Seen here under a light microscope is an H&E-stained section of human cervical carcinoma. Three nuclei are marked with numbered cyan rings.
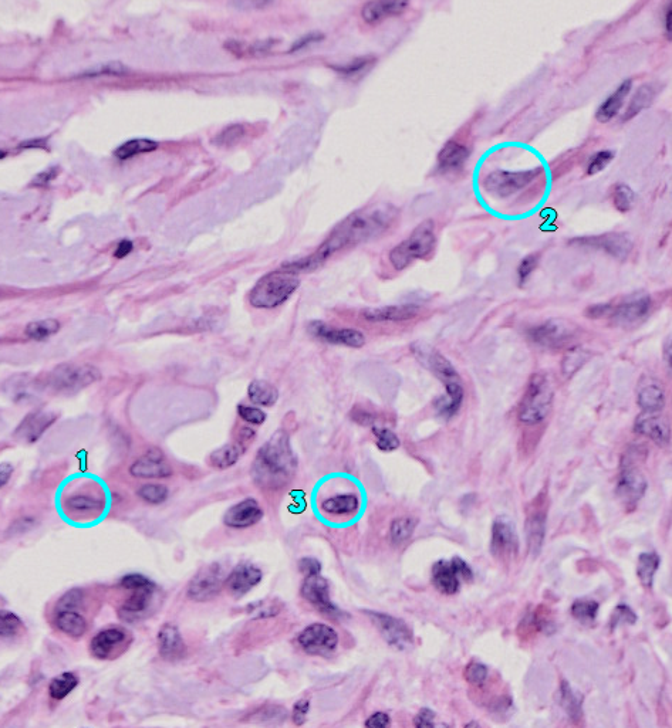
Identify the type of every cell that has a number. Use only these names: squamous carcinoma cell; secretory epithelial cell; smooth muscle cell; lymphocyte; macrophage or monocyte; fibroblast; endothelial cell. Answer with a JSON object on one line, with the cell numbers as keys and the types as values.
{"1": "endothelial cell", "2": "fibroblast", "3": "lymphocyte"}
